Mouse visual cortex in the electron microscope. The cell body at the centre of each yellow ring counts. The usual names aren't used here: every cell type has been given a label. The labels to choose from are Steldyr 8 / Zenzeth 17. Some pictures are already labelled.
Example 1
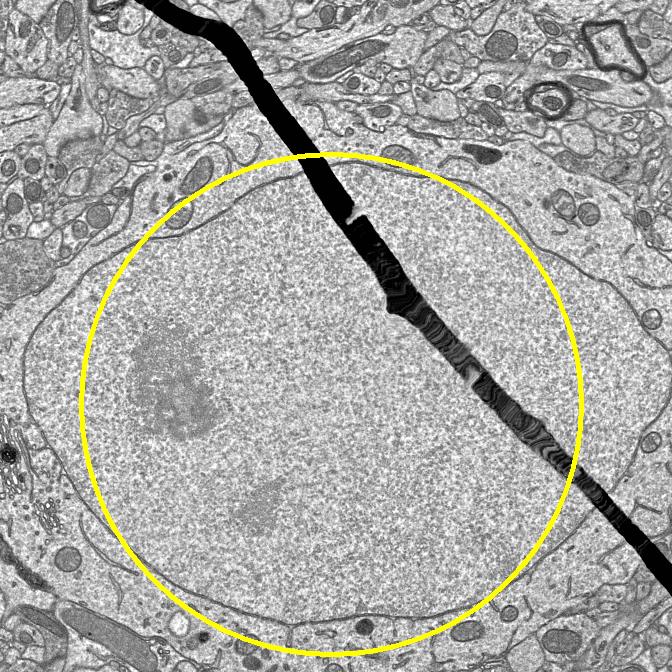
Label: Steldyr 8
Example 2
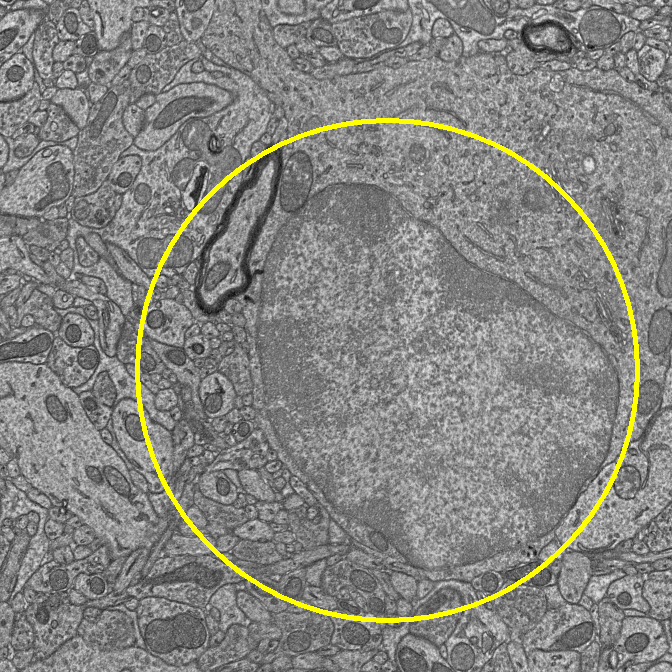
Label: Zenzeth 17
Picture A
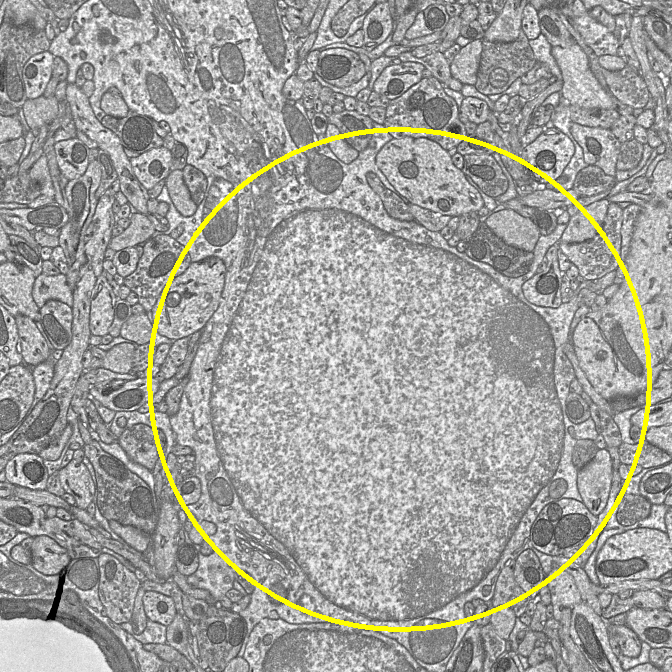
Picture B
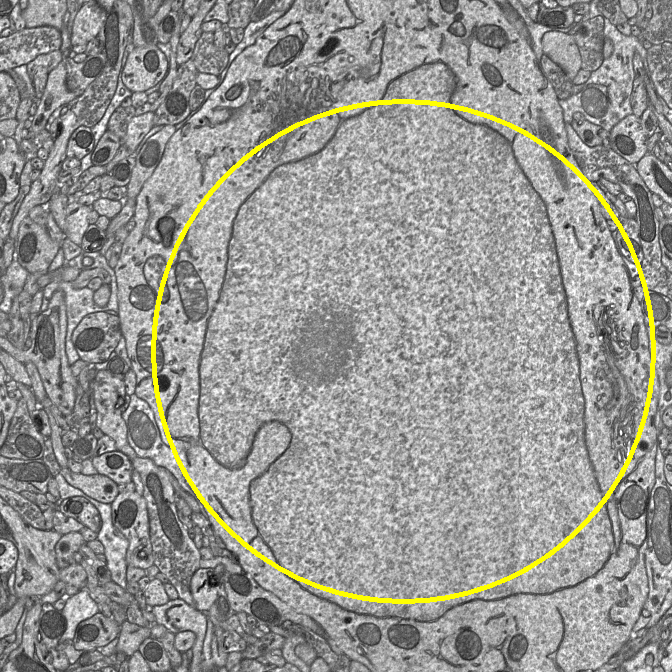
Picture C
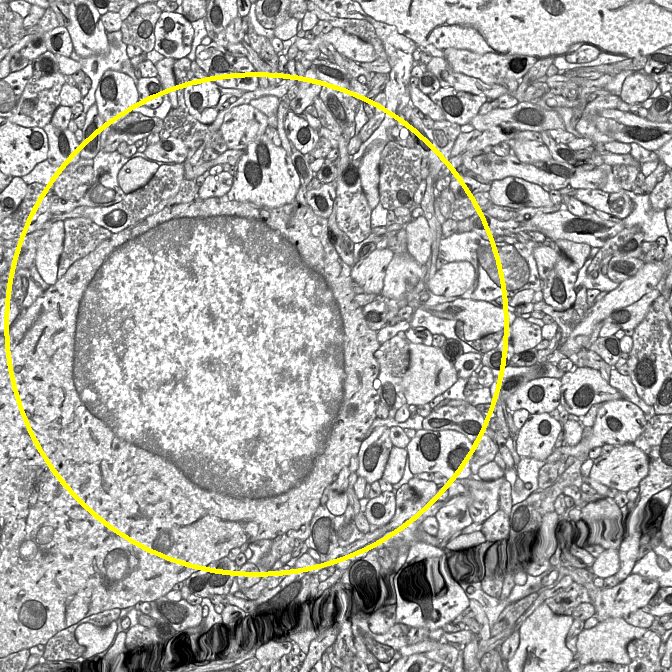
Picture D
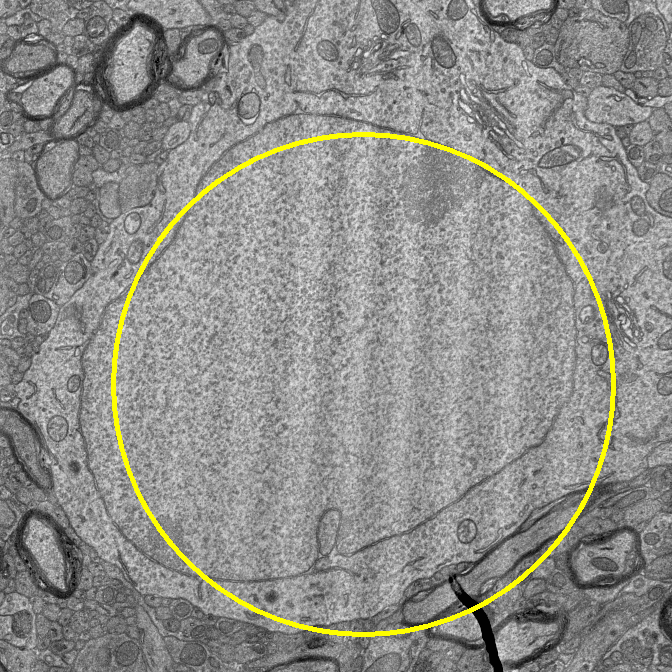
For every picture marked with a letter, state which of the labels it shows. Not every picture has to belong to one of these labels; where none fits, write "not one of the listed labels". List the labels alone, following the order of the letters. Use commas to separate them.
not one of the listed labels, Steldyr 8, Zenzeth 17, Steldyr 8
